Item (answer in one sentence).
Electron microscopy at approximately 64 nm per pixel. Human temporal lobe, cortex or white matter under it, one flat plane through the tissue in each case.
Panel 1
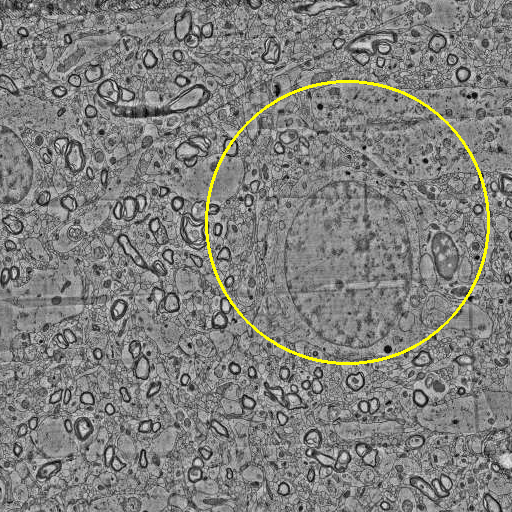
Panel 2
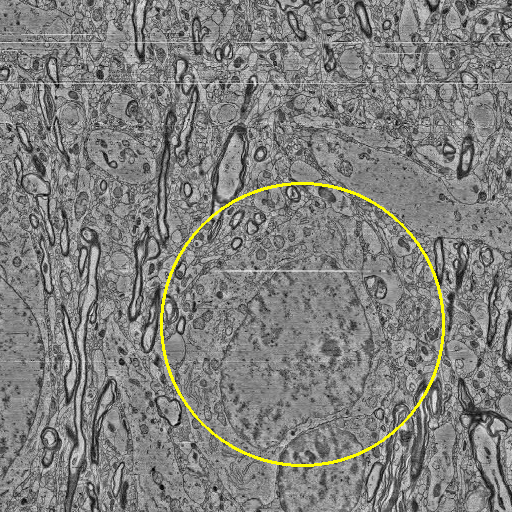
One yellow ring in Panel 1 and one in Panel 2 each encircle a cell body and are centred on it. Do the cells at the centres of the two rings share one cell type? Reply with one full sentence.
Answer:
Yes, Panel 1 and Panel 2 show cells of one type at the centres of their rings.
